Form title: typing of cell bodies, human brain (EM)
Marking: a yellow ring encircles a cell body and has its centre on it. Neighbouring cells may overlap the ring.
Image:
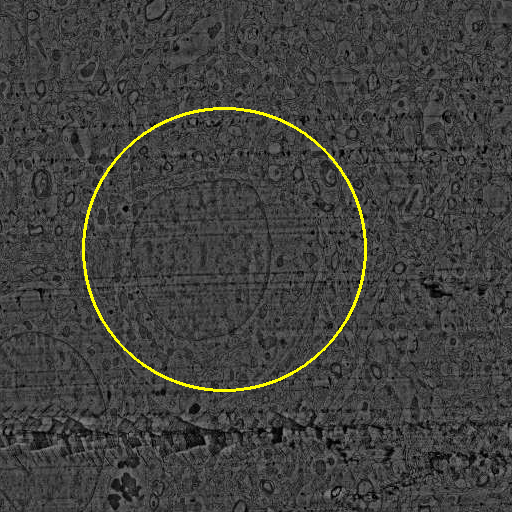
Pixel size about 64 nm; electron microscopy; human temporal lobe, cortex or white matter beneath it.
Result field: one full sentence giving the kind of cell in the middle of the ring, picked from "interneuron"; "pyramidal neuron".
In the picture, the ring is centred on an interneuron, whose cell body it encircles.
